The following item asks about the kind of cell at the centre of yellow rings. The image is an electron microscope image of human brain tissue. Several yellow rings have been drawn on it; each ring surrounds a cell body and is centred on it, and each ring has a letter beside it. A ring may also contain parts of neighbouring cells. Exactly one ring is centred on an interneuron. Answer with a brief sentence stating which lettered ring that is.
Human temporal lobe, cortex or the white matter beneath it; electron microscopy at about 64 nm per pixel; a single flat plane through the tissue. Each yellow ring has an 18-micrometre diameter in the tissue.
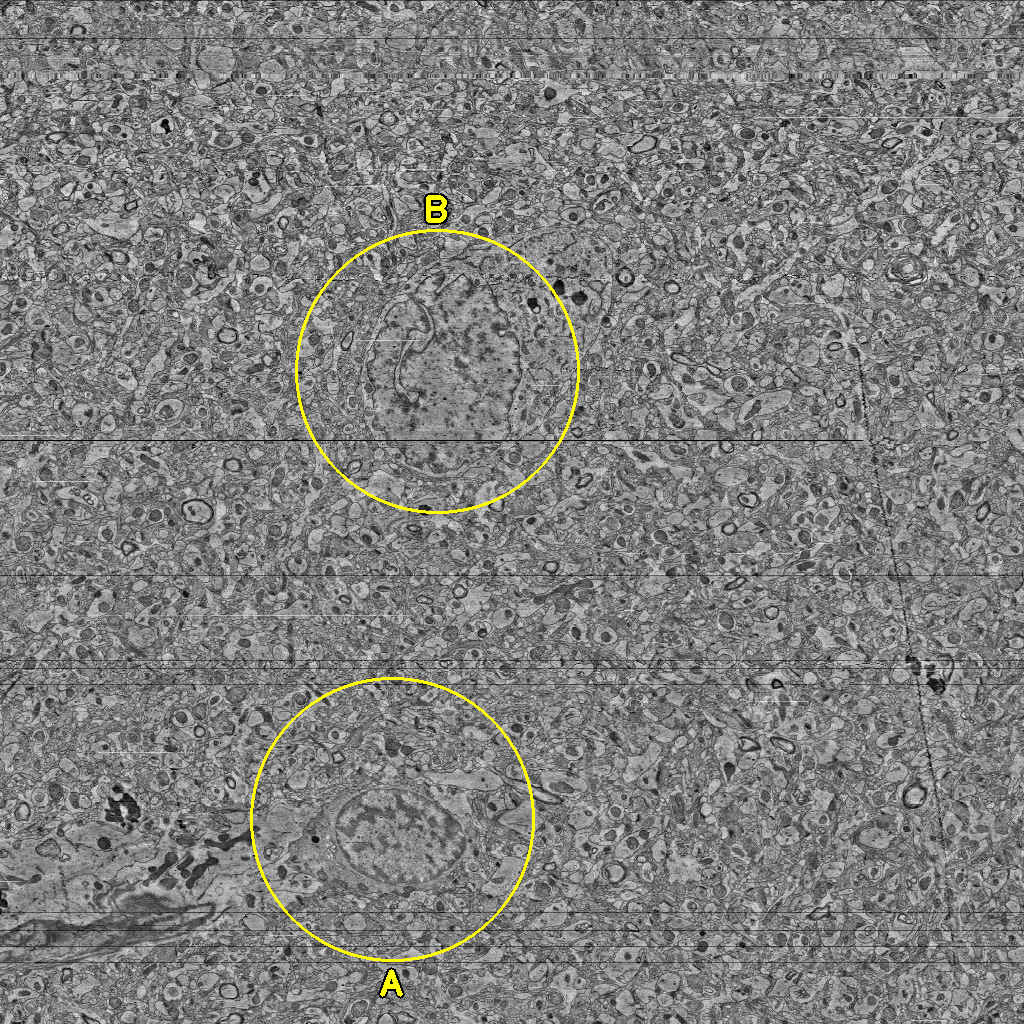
That is ring B.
